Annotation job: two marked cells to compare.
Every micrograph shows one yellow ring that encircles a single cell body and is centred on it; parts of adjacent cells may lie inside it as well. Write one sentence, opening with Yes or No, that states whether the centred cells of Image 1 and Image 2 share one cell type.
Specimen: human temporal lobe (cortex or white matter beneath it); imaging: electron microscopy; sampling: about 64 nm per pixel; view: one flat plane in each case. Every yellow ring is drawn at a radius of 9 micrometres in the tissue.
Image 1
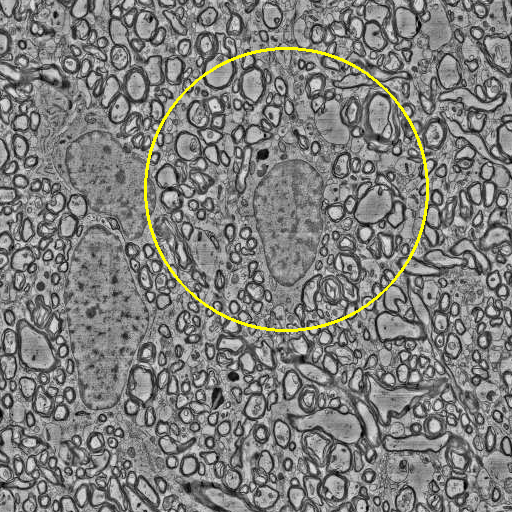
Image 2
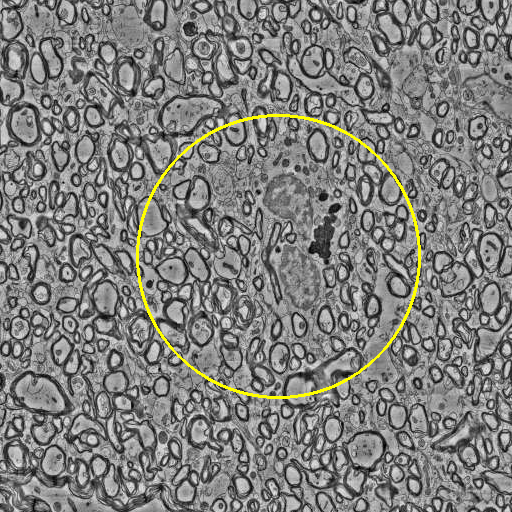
Yes, the cell centred in Image 1 shares its type with the cell centred in Image 2.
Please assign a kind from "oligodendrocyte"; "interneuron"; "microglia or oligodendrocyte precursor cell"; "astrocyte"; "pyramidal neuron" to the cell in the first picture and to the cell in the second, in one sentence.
In both pictures the ring is centred on an oligodendrocyte.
